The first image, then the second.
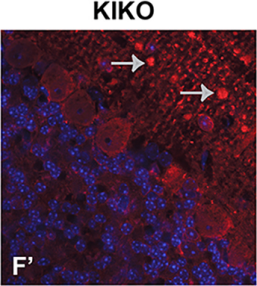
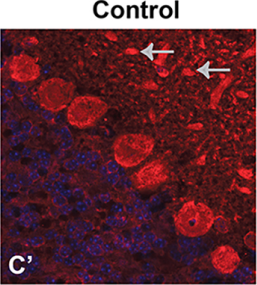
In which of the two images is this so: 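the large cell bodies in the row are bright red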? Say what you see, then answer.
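First image: the large cell bodies at the layer border are faintly red. Second image: the large cell bodies at the layer border are bright red and clearly outlined. So: the second image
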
